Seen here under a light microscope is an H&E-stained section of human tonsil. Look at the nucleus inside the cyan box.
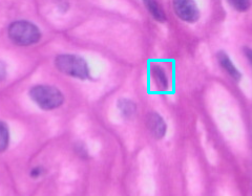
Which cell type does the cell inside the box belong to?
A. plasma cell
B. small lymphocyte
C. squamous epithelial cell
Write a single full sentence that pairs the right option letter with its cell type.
In this case the cell inside the box is a squamous epithelial cell, so option C is correct.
